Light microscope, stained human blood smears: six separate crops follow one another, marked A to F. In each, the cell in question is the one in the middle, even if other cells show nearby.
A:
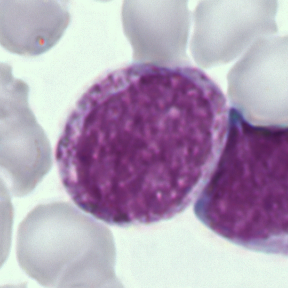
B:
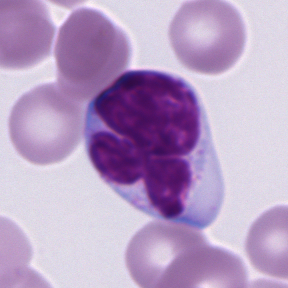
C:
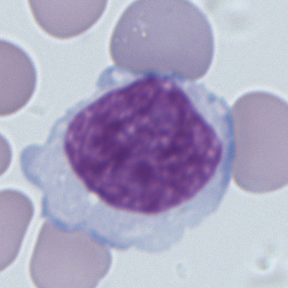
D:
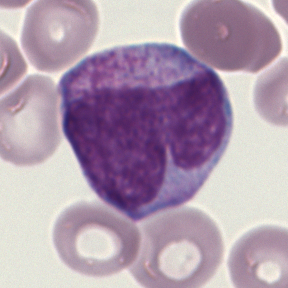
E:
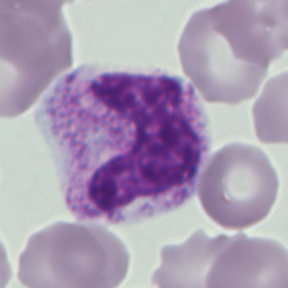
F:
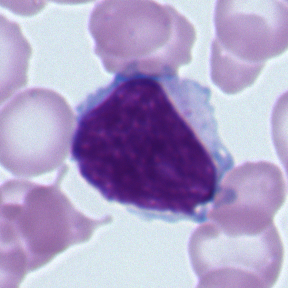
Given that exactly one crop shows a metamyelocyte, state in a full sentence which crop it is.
Among the crops, only crop E contains a metamyelocyte.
